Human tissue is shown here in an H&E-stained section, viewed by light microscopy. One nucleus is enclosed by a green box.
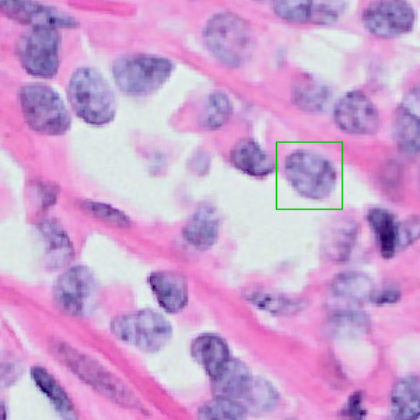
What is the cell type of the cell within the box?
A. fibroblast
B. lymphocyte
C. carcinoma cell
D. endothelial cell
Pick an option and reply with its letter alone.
C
